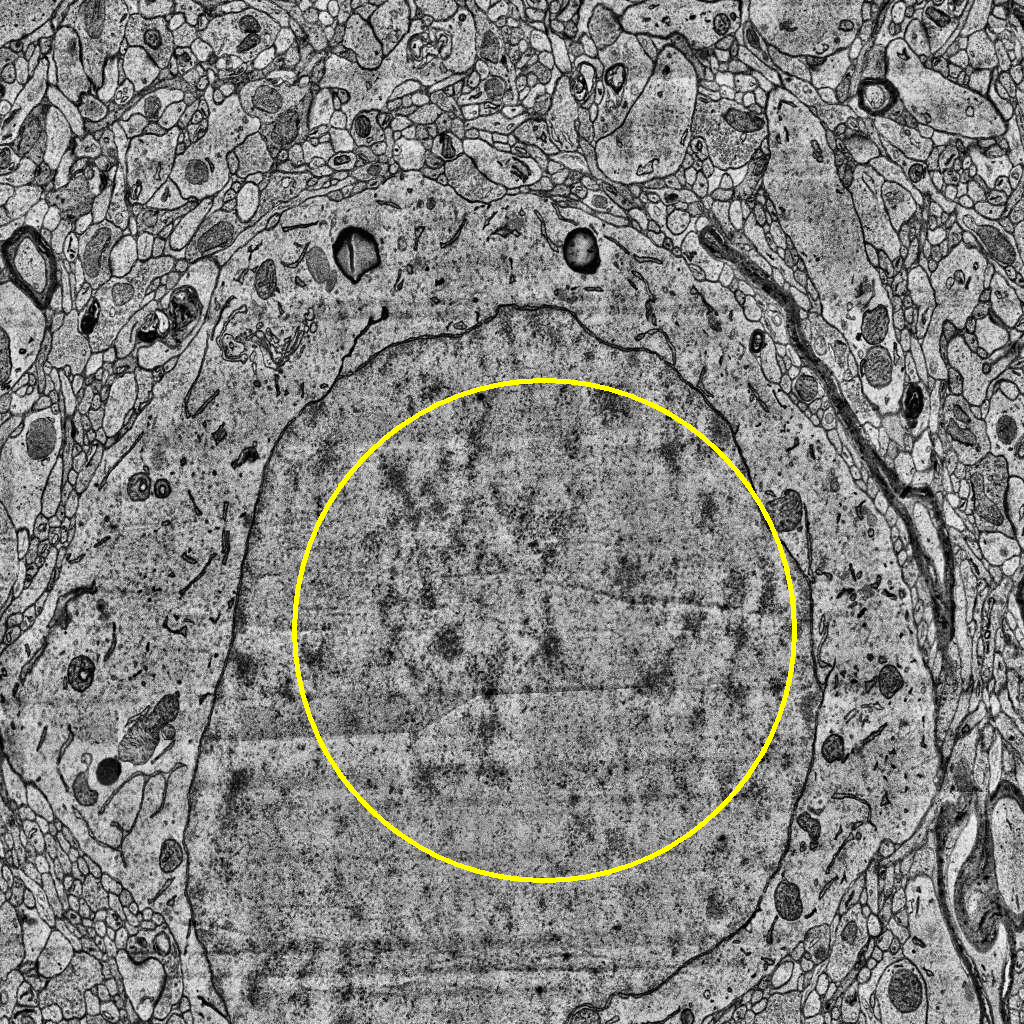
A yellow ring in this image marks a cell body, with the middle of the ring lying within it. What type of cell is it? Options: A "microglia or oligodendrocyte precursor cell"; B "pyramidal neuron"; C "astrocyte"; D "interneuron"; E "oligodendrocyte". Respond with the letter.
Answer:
B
